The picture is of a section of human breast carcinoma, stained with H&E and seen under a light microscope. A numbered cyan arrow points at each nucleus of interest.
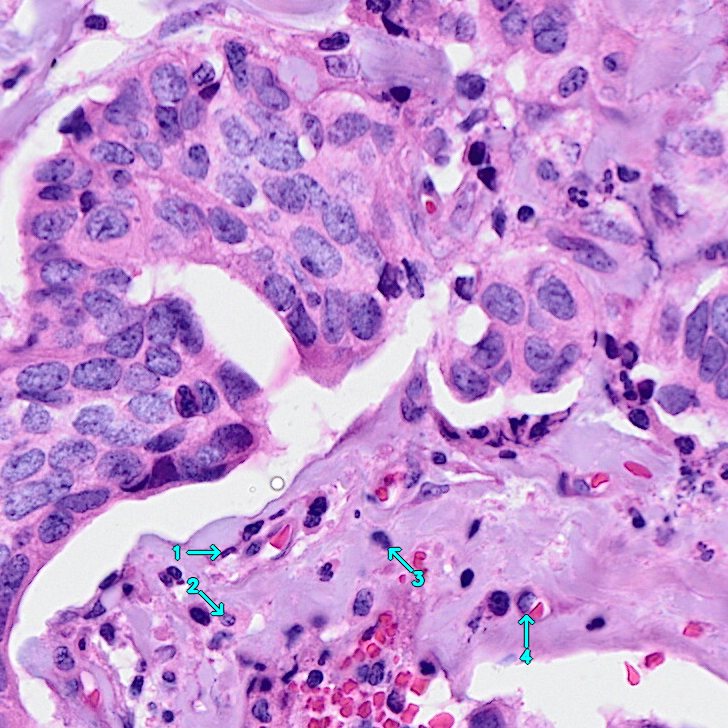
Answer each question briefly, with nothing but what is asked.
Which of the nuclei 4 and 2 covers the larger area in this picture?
4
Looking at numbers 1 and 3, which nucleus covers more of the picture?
3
